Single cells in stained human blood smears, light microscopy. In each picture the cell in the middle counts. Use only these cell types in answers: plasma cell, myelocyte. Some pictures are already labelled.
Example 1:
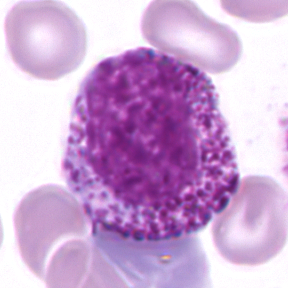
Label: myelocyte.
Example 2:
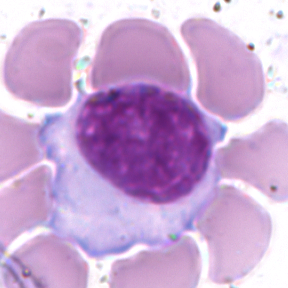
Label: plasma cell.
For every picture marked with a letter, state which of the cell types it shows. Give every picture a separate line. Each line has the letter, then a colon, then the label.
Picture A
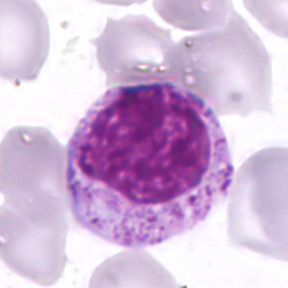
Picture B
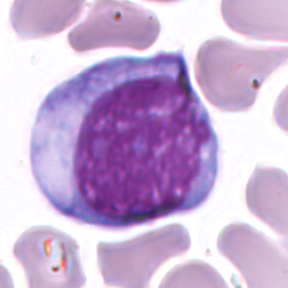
A: myelocyte.
B: plasma cell.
